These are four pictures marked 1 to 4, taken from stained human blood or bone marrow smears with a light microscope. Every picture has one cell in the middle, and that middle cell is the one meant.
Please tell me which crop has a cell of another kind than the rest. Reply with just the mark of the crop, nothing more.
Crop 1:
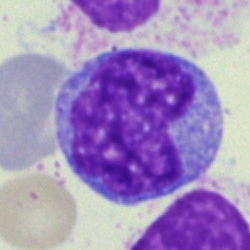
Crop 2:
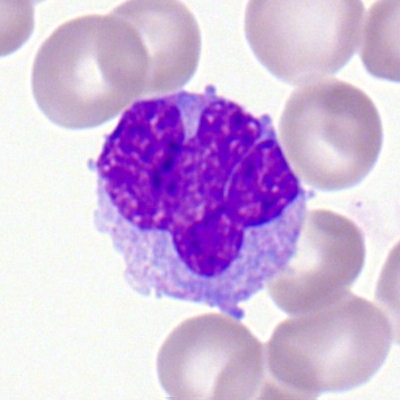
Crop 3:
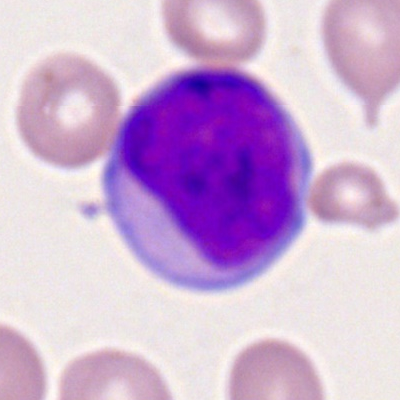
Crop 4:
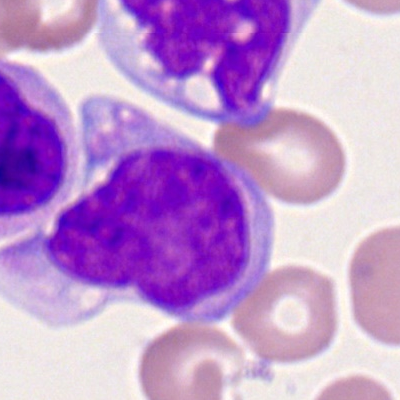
3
